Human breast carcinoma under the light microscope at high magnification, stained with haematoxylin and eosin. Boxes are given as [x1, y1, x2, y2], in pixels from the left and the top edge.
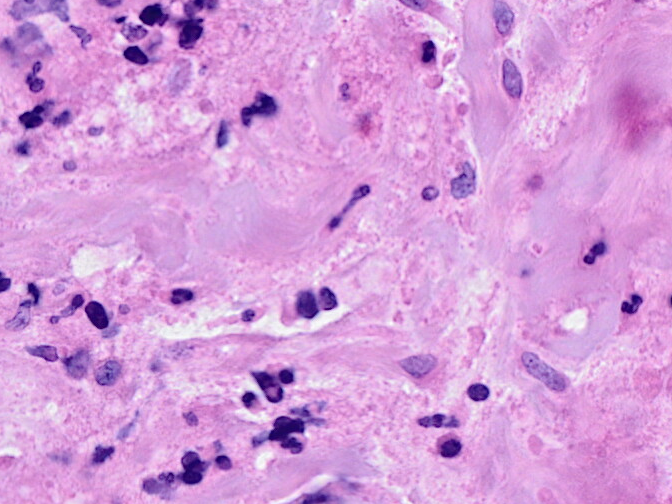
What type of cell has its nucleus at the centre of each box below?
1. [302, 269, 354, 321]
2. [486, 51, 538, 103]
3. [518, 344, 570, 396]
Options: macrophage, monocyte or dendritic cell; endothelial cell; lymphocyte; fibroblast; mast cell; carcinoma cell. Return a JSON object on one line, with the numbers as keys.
{"1": "lymphocyte", "2": "fibroblast", "3": "fibroblast"}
